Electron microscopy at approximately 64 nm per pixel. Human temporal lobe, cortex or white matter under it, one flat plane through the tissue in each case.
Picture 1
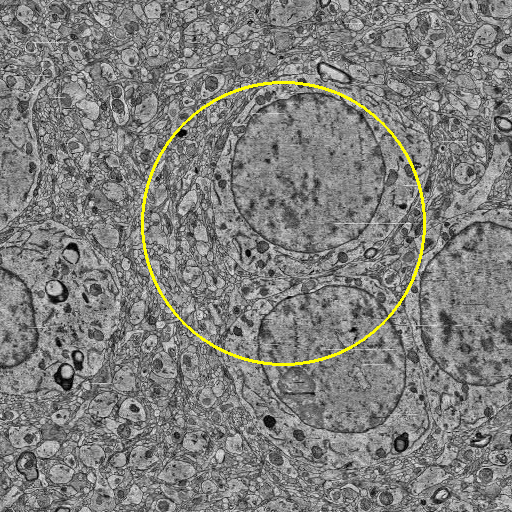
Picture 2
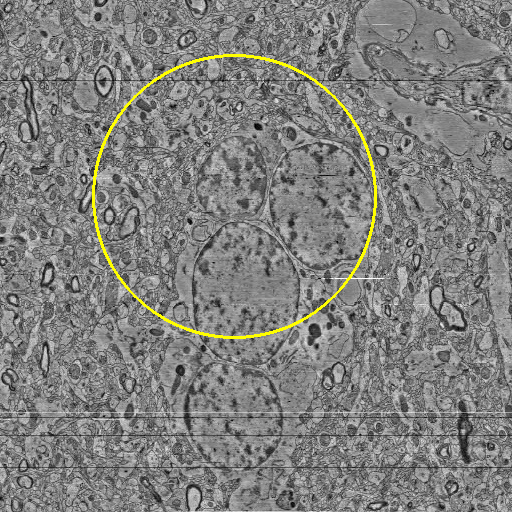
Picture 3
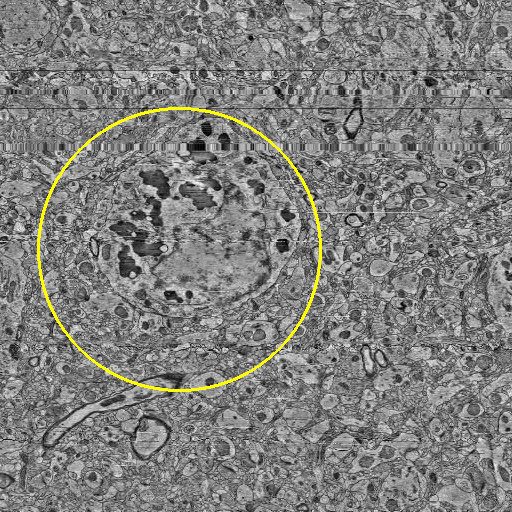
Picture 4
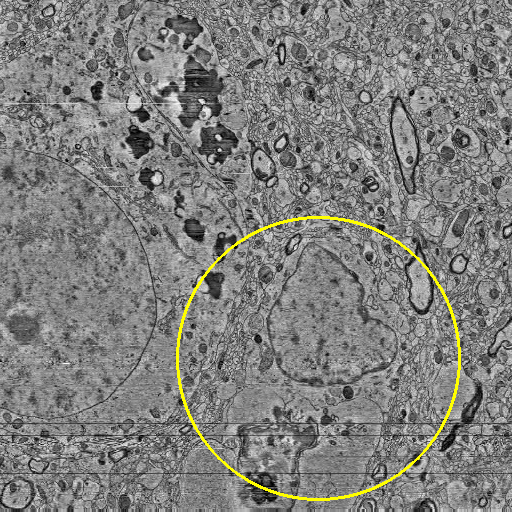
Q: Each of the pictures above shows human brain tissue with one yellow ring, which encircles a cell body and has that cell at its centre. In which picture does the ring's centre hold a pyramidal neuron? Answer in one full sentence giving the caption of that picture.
Picture 1 is the one whose ring is centred on the cell in question.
